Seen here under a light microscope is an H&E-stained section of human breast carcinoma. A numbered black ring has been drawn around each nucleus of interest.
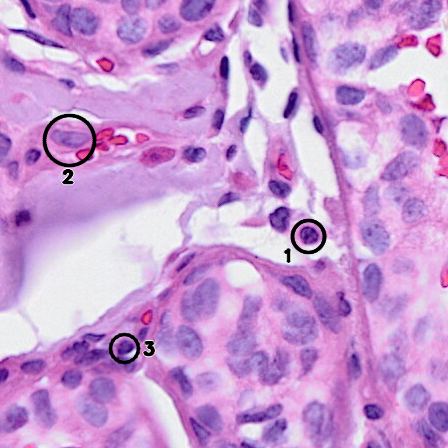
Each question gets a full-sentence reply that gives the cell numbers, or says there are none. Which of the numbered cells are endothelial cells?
The cells numbered 2 and 3 are of the kind known as endothelial cells.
